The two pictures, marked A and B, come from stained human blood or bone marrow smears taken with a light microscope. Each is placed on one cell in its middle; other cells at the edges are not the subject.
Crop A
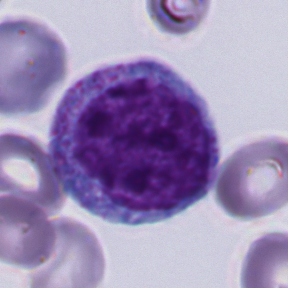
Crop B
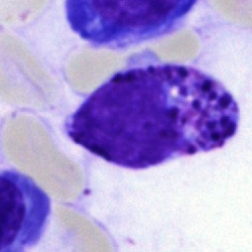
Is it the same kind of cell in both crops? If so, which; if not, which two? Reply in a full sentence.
No, crop A captures a promyelocyte, and crop B captures a basophil.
